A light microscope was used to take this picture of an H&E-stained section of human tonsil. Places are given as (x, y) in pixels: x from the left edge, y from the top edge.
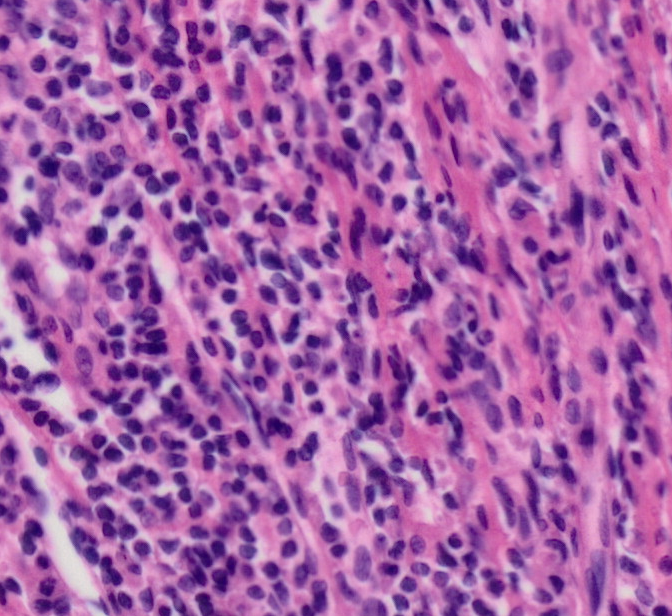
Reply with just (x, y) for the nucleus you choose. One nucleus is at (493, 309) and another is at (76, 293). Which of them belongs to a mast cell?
(493, 309)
